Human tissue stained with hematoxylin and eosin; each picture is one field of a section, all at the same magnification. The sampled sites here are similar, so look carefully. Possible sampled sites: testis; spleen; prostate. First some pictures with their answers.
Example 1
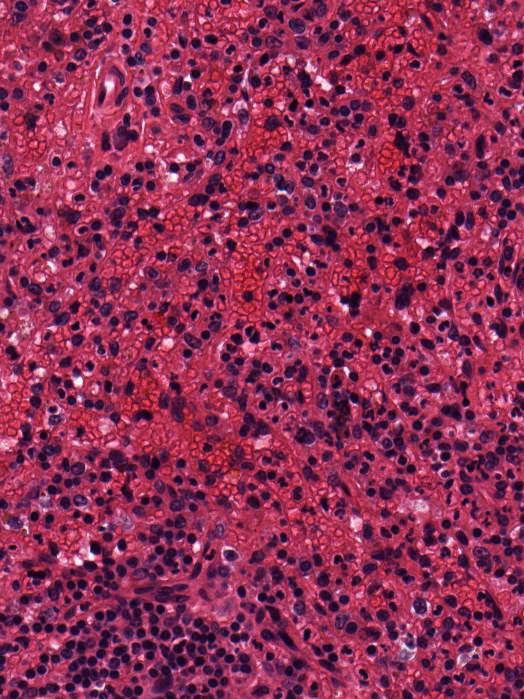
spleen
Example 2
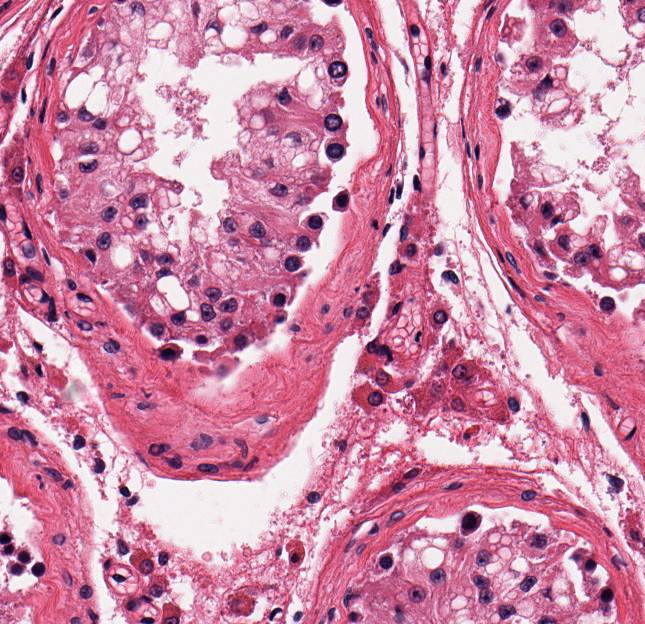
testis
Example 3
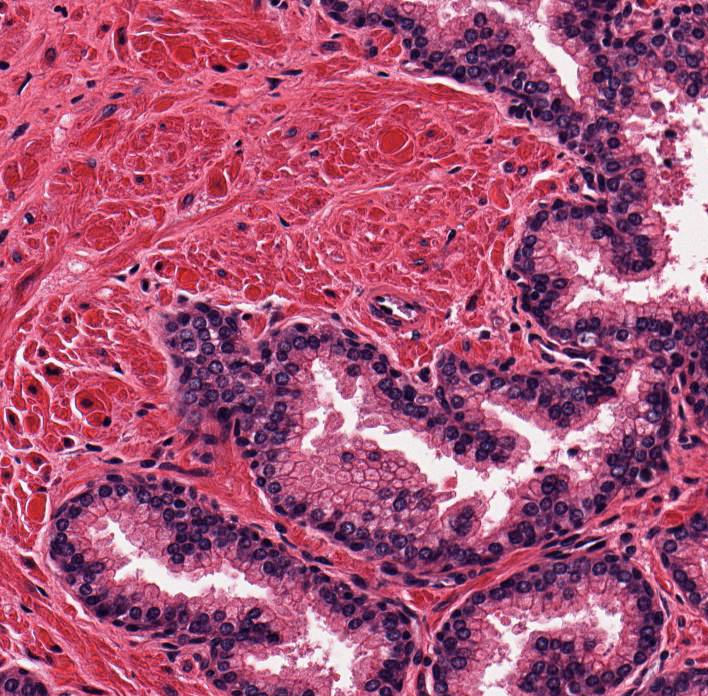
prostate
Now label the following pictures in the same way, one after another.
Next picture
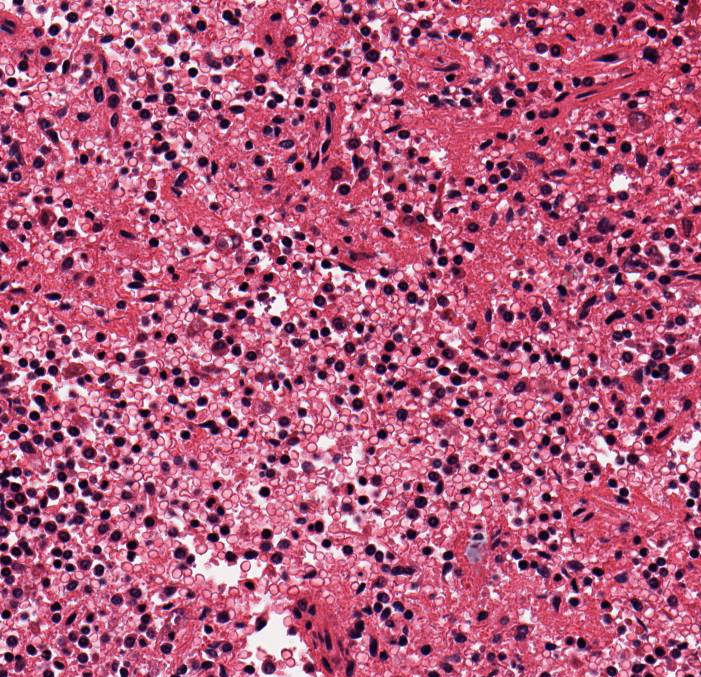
spleen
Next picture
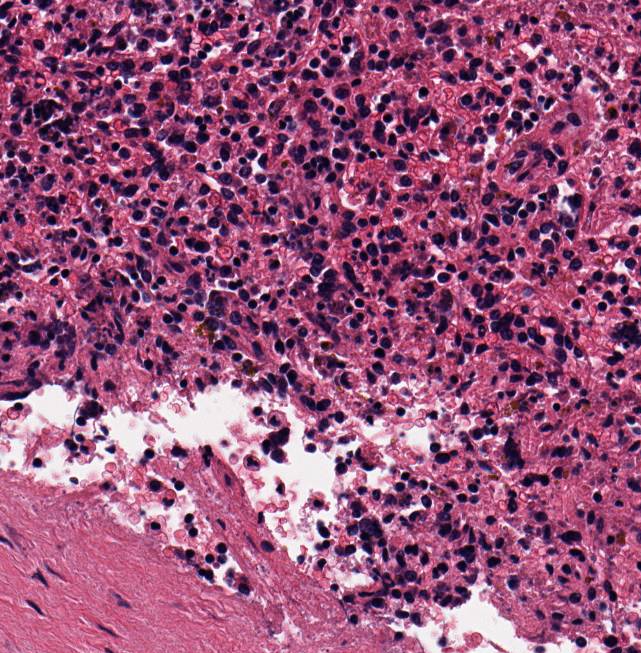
spleen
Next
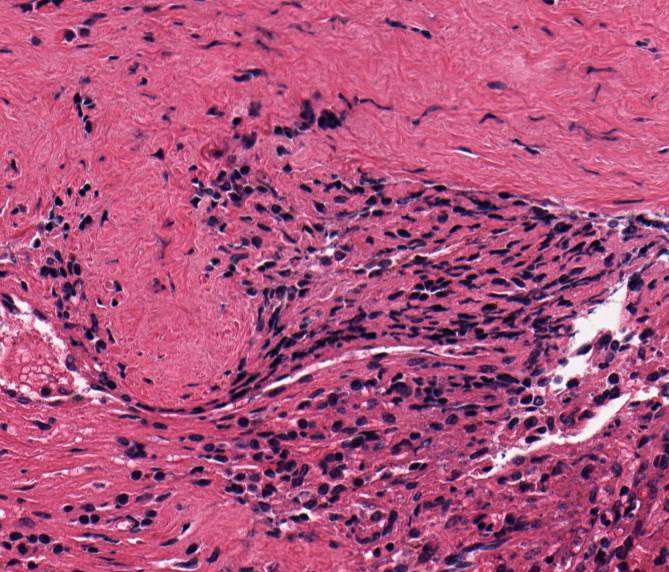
spleen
